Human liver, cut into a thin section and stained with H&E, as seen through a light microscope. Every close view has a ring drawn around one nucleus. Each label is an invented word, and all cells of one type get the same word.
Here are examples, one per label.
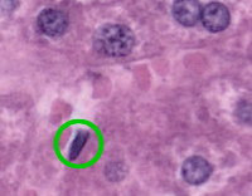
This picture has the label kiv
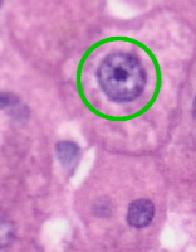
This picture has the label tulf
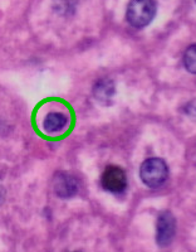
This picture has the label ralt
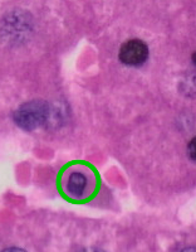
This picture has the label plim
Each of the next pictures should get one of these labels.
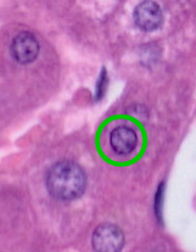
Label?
tulf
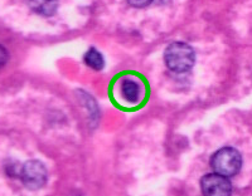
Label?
ralt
